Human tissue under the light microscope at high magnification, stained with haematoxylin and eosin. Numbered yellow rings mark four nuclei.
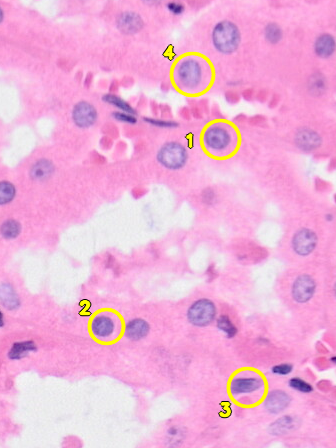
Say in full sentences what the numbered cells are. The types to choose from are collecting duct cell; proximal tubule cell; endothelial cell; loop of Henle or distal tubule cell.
Cells 1, 2 and 4 are proximal tubule cells. Cell 3 is an endothelial cell.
